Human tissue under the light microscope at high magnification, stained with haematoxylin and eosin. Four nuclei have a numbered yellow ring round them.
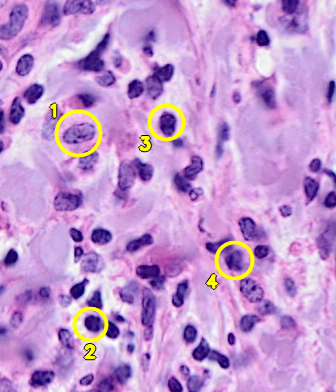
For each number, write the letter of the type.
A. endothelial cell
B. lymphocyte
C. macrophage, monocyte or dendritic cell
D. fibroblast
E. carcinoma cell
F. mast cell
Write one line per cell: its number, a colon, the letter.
1: F
2: B
3: B
4: B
